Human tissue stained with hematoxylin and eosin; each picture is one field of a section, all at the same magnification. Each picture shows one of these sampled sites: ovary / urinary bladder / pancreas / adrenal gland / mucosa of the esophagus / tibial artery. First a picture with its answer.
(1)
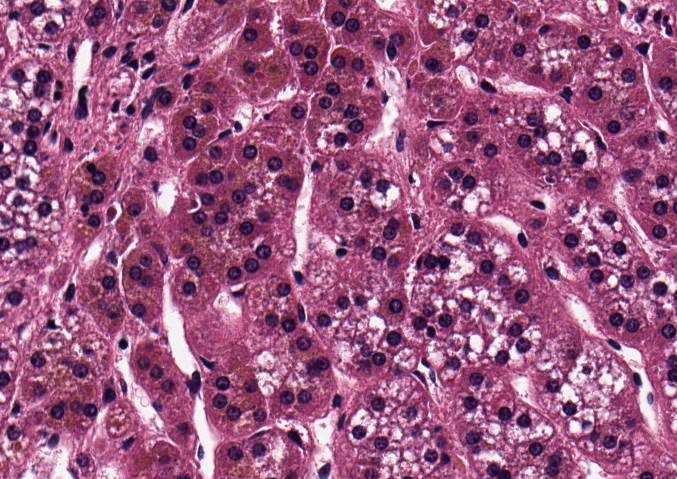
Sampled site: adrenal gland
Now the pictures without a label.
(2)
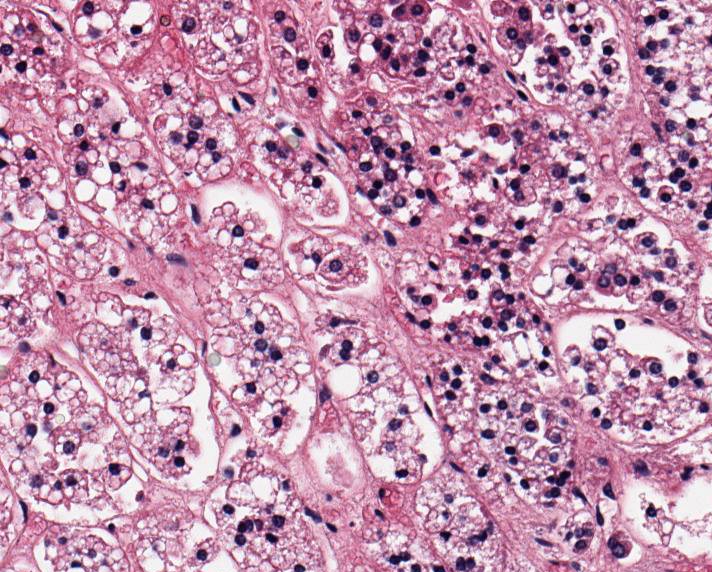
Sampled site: adrenal gland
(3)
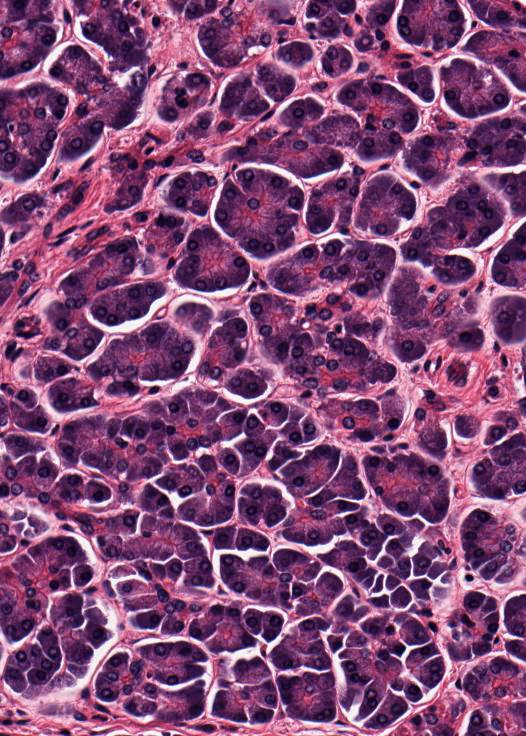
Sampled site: pancreas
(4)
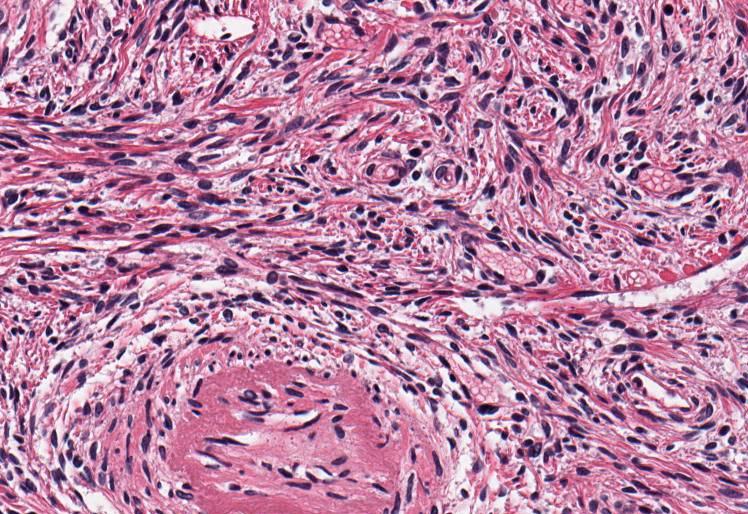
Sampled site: ovary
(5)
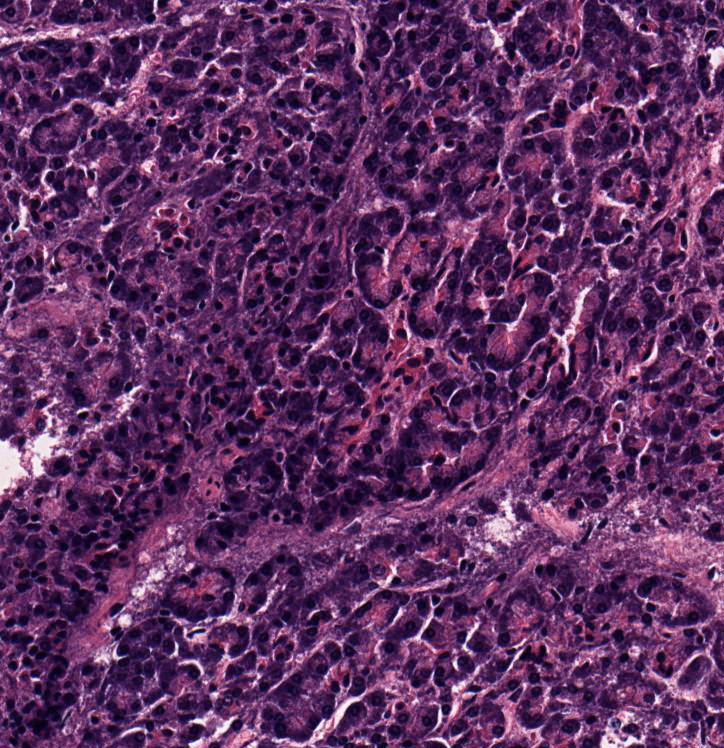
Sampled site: pancreas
